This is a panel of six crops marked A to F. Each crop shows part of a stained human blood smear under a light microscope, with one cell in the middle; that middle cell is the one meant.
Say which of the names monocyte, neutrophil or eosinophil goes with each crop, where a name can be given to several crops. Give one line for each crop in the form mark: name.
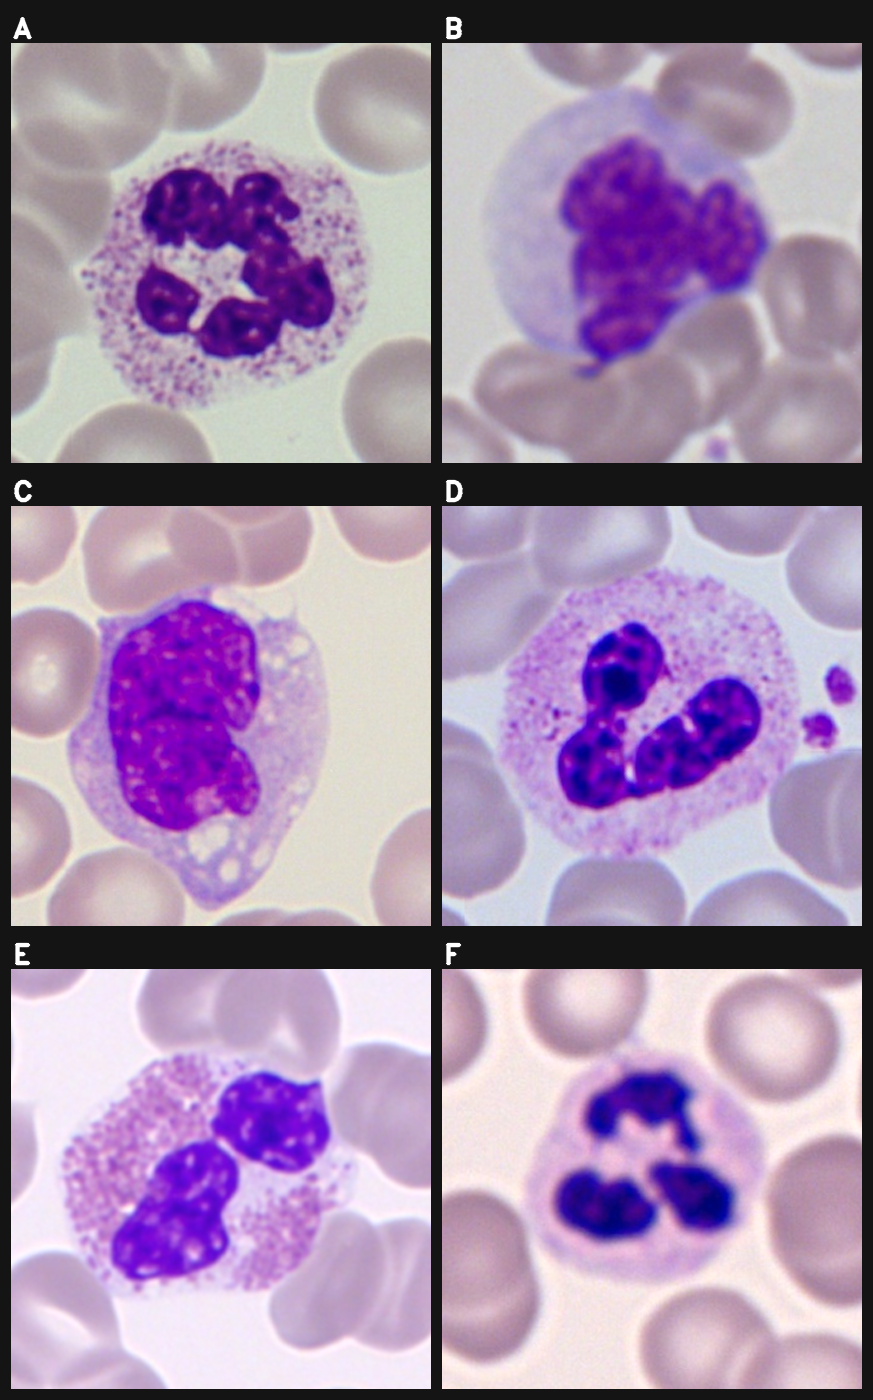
A: neutrophil
B: monocyte
C: monocyte
D: neutrophil
E: eosinophil
F: neutrophil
